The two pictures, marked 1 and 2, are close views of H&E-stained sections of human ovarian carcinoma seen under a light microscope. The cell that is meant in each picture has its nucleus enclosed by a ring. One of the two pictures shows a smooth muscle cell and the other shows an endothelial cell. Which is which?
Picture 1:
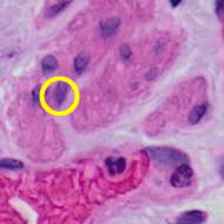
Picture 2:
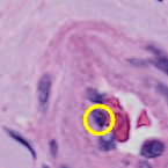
1: smooth muscle cell
2: endothelial cell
